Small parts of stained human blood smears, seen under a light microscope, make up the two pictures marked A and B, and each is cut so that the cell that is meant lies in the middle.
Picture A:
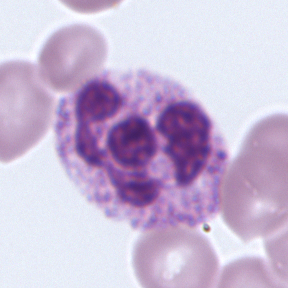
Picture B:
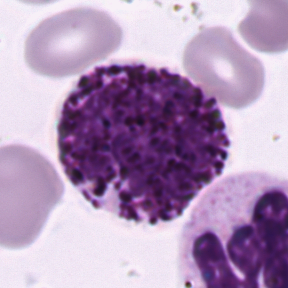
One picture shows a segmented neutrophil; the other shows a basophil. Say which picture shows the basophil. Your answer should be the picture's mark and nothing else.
B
